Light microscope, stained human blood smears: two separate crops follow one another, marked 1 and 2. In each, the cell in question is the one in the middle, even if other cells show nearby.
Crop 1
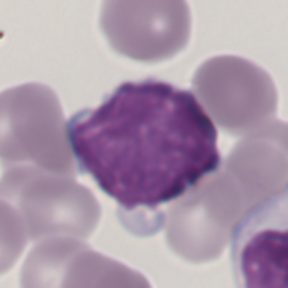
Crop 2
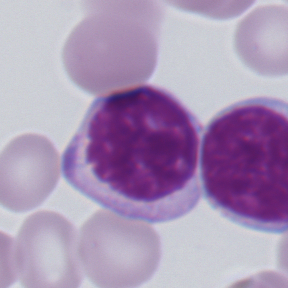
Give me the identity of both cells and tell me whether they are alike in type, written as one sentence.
Yes, as shown in both crops, the central cells are large granular lymphocytes.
